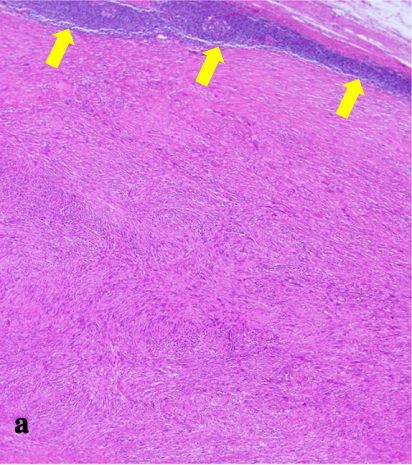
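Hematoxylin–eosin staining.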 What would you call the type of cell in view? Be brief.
spindle-shaped tumor cells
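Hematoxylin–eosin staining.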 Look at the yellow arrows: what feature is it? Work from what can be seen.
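Peritumoral lymphoid cuff. A dense band of small dark-blue round nuclei runs along the upper edge of the tumor. The band lies between the pink spindle-cell mass and the overlying tissue.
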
